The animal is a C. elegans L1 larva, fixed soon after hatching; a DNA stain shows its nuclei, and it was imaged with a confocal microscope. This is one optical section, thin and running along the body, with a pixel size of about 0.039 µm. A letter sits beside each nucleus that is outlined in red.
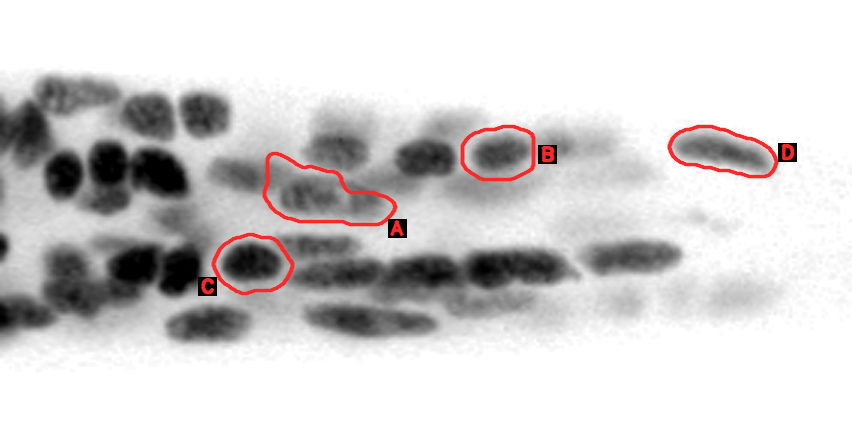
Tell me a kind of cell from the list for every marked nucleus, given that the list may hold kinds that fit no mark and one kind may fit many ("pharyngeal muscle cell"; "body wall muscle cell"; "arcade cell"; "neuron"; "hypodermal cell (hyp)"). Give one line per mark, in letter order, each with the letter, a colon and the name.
A: pharyngeal muscle cell
B: arcade cell
C: neuron
D: hypodermal cell (hyp)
